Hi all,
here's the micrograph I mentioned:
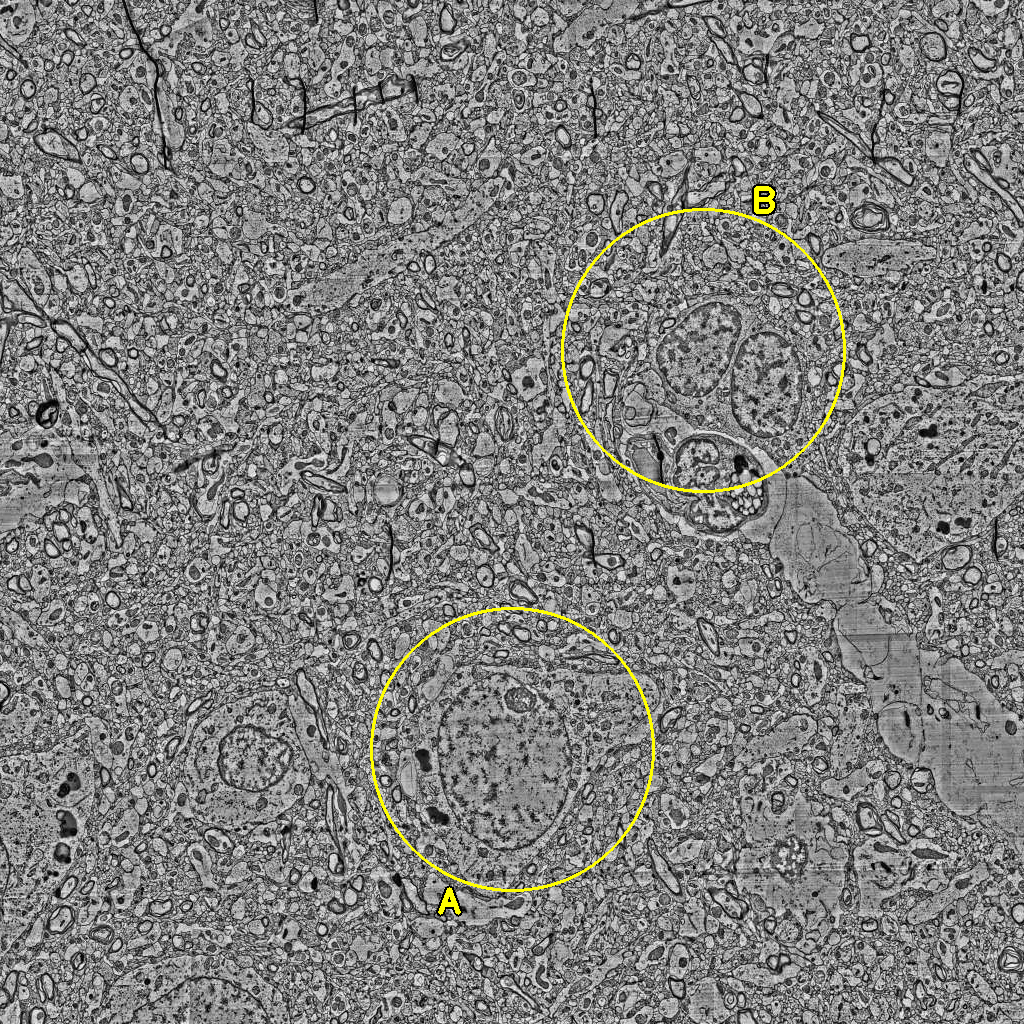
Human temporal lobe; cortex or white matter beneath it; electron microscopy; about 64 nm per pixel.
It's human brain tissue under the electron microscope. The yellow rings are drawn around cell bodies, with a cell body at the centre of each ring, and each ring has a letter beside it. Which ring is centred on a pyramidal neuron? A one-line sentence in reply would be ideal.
It's the one labelled A.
